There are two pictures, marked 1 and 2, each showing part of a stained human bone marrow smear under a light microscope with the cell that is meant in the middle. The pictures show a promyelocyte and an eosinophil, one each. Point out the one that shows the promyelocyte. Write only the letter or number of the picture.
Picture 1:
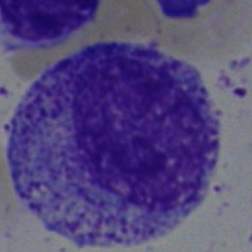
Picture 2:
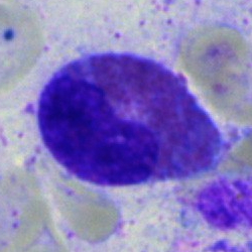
1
